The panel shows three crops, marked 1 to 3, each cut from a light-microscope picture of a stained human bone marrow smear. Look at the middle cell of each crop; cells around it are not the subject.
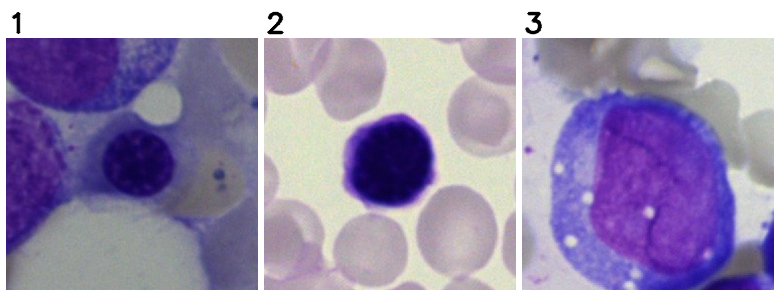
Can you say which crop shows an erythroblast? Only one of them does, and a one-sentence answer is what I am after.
Crop 1, and no other, shows an erythroblast.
